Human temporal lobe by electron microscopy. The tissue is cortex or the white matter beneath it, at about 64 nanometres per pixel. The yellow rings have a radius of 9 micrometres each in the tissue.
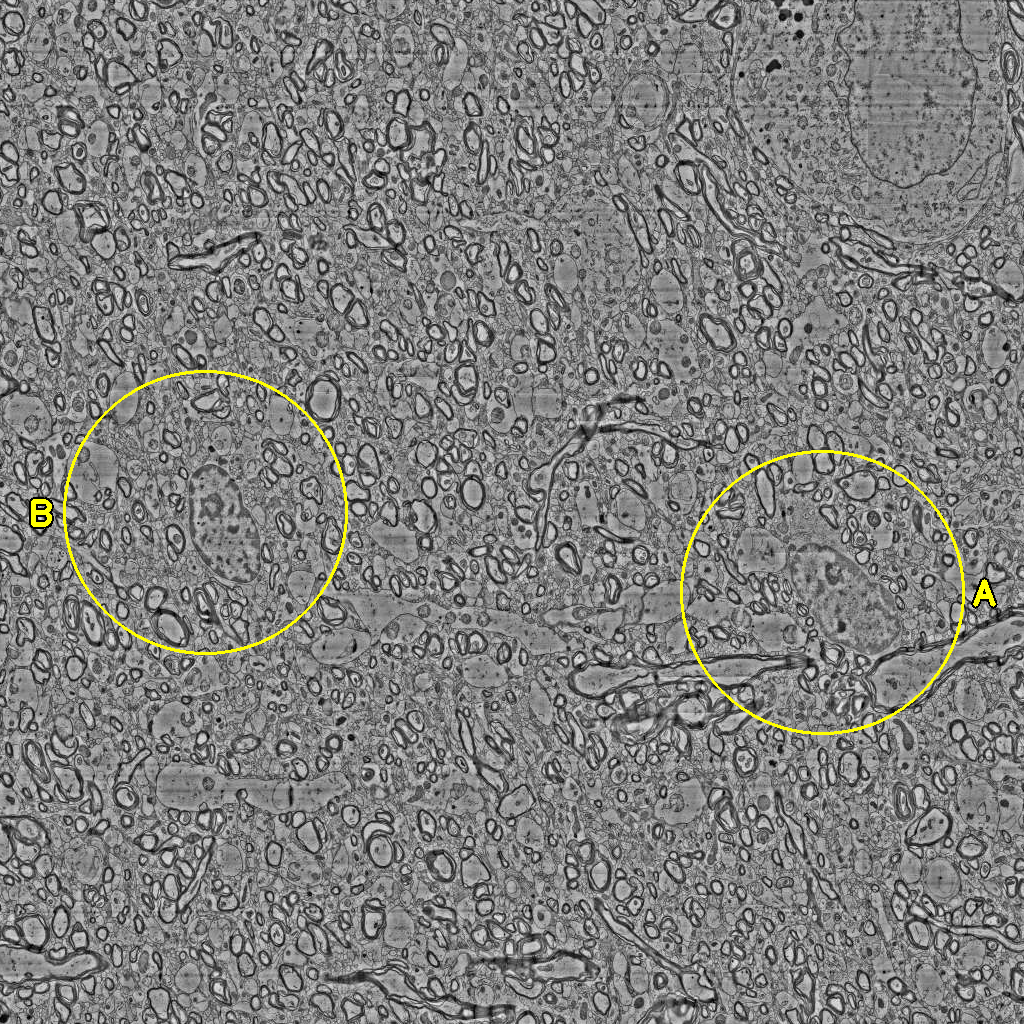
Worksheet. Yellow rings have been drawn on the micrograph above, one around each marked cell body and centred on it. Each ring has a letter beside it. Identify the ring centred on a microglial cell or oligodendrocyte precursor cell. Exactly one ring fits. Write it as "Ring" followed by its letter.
Ring B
